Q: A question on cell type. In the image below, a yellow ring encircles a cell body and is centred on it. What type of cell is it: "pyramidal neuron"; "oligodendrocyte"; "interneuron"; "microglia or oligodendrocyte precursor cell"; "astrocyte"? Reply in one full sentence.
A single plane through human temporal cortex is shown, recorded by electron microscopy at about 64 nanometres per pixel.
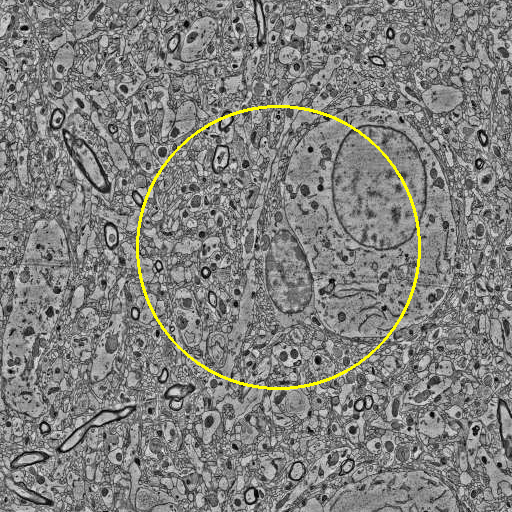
It is an oligodendrocyte whose cell body sits at the centre of the yellow ring in the image.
